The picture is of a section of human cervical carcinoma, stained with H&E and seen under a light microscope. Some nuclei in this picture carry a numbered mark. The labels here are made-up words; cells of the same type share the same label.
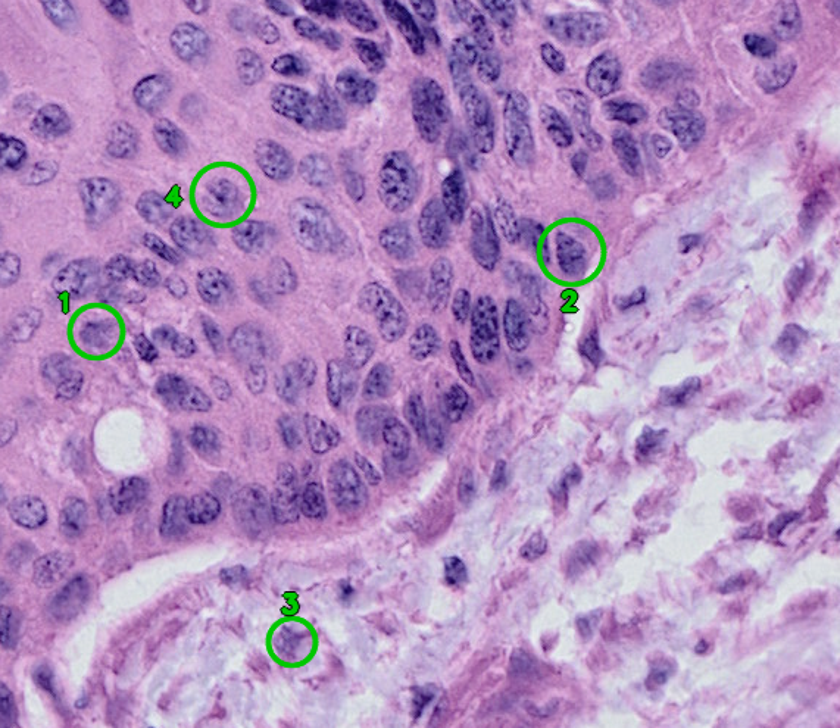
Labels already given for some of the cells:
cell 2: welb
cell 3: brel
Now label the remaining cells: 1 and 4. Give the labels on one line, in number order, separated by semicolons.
welb; welb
